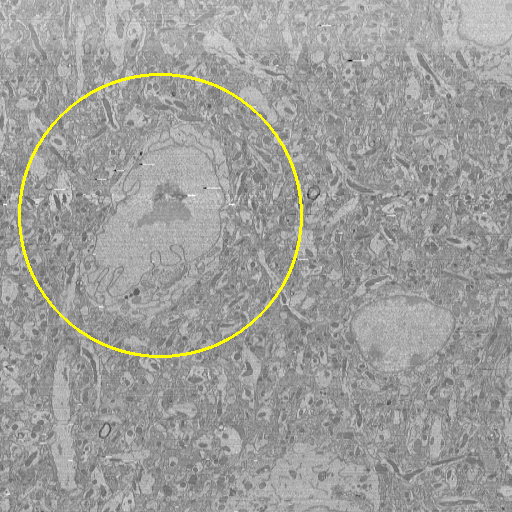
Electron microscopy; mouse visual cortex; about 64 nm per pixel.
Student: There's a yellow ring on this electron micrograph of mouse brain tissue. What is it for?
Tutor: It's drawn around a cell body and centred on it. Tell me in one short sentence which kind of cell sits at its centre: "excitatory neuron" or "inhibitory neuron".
The cell at the centre of the ring is an inhibitory neuron.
